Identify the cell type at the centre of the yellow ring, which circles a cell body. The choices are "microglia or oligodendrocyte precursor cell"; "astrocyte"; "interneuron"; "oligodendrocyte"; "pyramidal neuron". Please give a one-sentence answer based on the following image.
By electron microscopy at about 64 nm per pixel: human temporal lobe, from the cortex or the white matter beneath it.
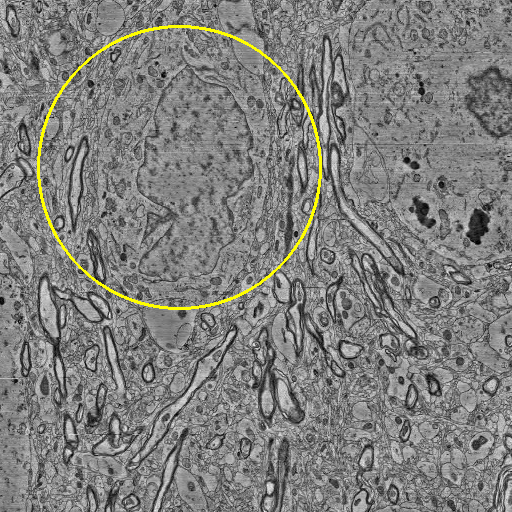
The cell marked by the ring is an interneuron.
